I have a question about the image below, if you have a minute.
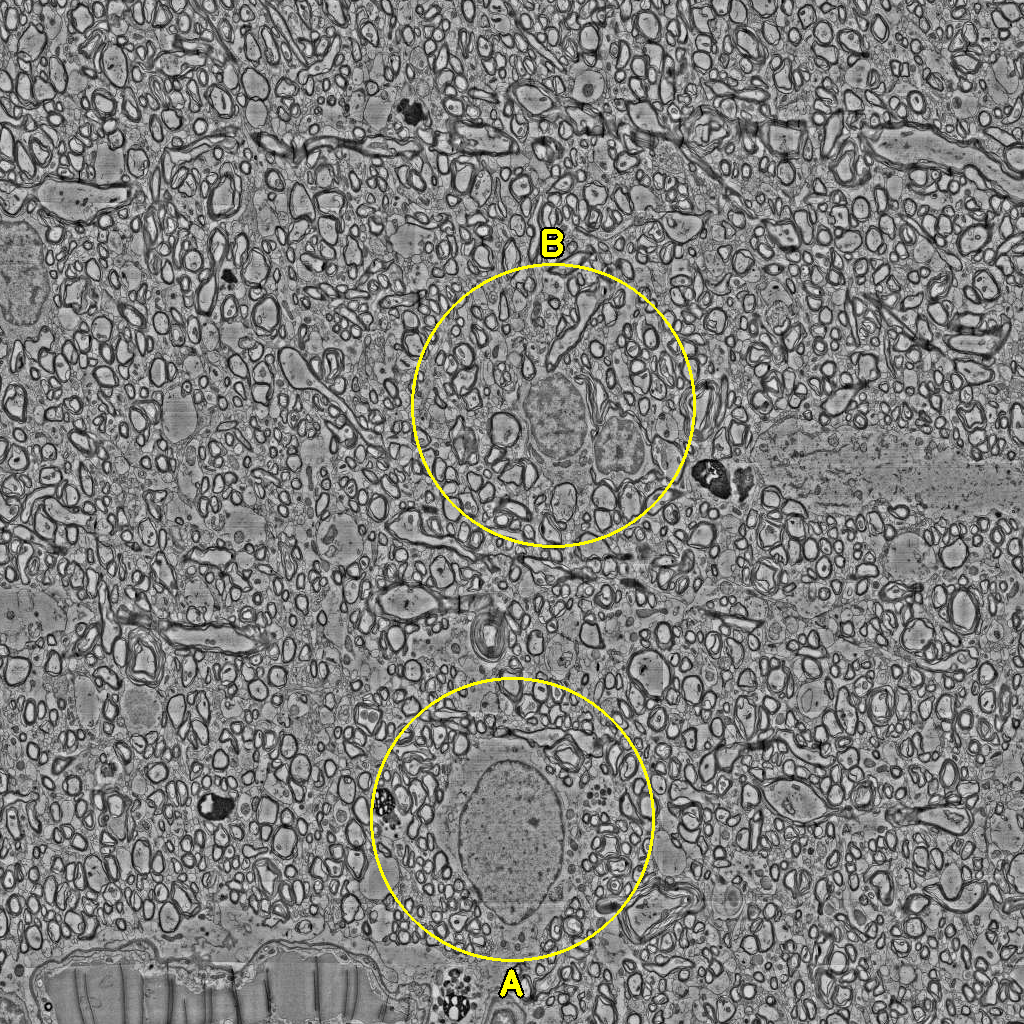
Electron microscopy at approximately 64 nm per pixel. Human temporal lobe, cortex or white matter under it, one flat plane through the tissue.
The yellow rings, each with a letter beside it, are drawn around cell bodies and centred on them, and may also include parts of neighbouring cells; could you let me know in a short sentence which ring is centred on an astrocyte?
Ring A is centred on it.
